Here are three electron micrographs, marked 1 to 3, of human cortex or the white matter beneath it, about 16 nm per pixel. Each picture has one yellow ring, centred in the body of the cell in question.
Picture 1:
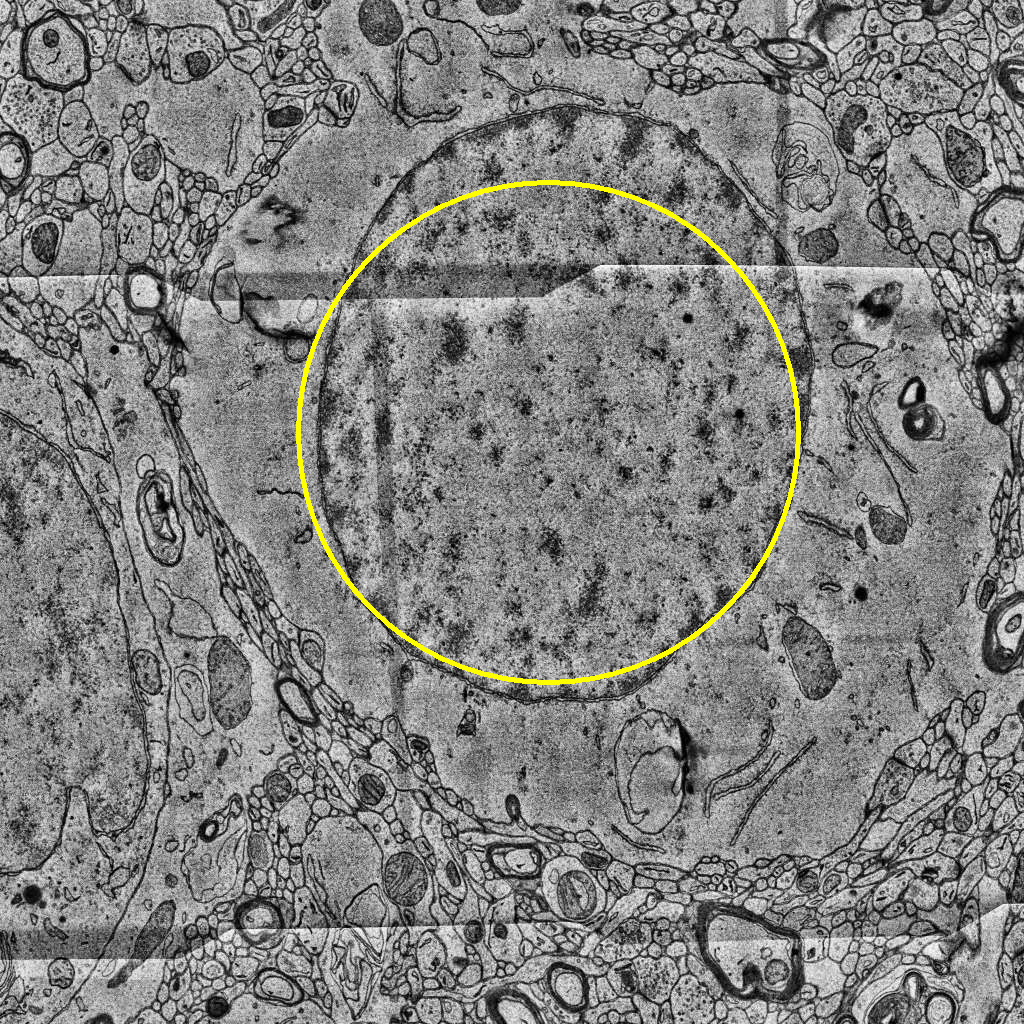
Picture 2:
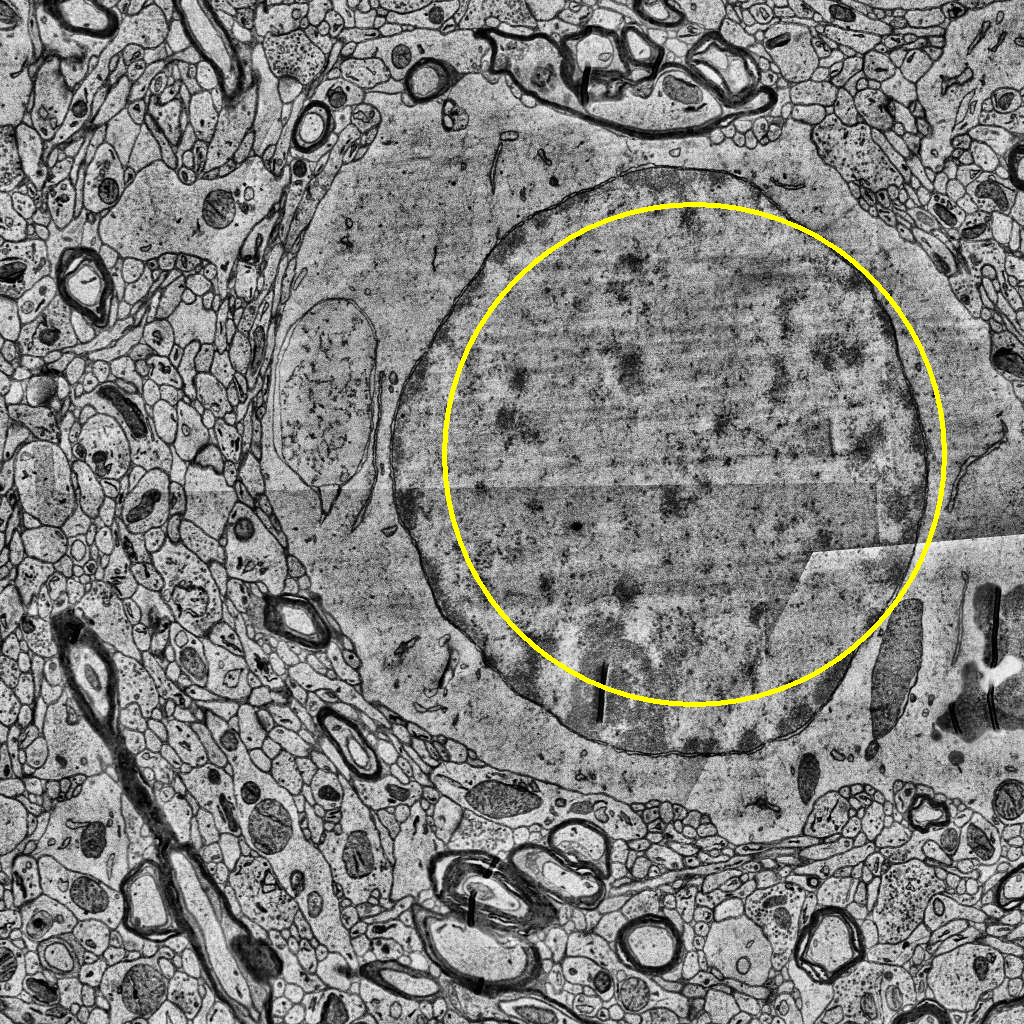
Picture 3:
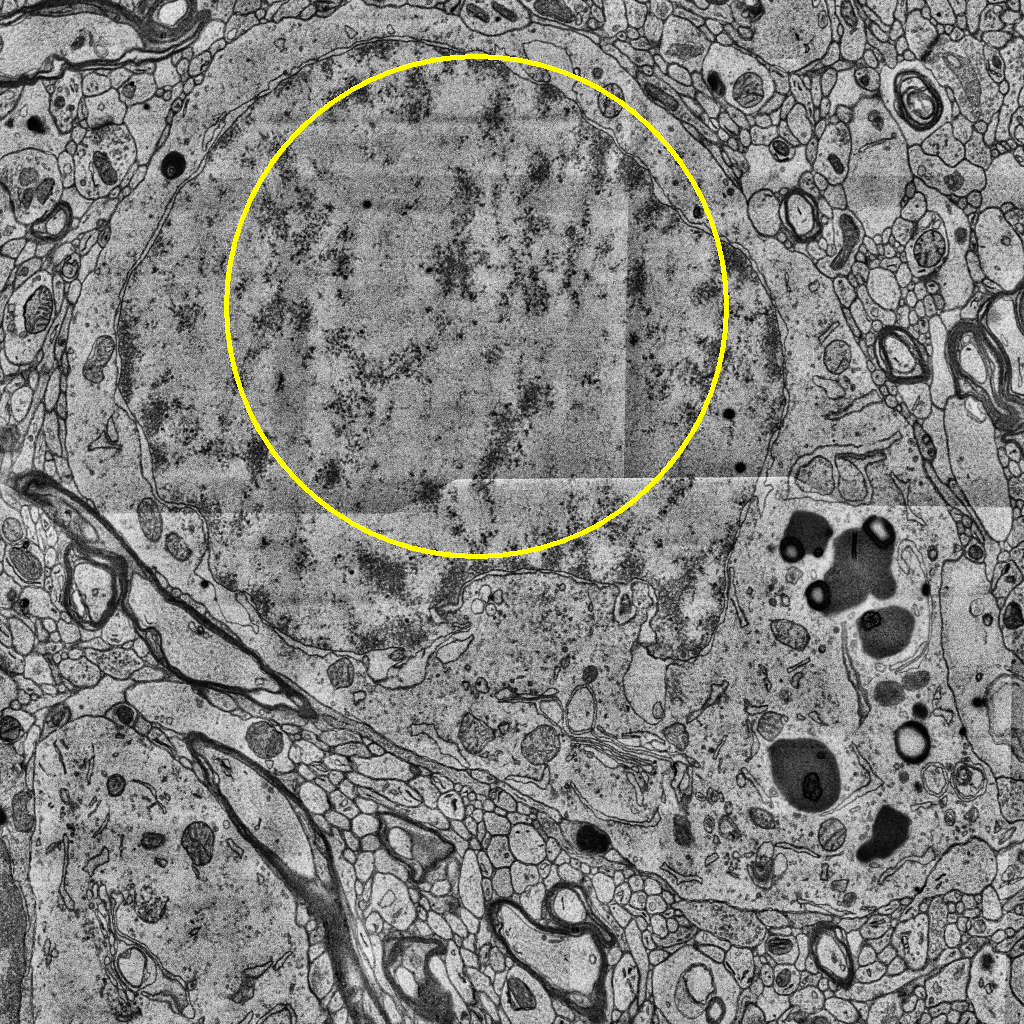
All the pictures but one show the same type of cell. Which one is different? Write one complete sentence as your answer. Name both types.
The others show astrocytes, but picture 3 shows an interneuron.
